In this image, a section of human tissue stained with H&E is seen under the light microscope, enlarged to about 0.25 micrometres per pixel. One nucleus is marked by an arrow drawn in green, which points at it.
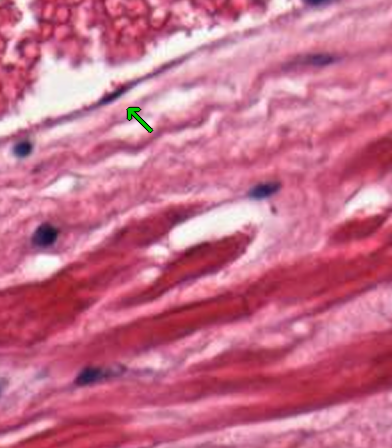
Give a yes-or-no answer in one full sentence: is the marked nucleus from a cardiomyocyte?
No, the marked nucleus, which belongs to a supporting cell, is not part of a cardiomyocyte.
